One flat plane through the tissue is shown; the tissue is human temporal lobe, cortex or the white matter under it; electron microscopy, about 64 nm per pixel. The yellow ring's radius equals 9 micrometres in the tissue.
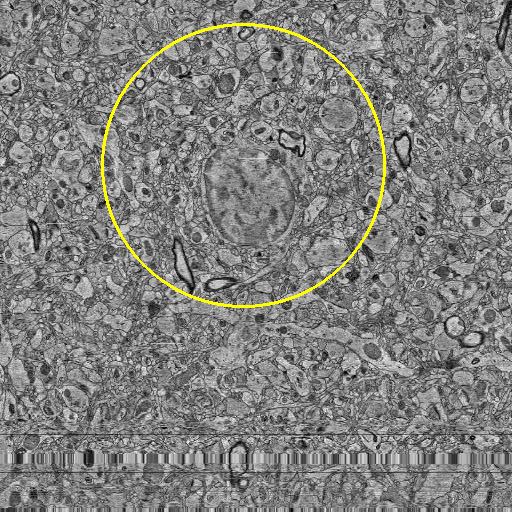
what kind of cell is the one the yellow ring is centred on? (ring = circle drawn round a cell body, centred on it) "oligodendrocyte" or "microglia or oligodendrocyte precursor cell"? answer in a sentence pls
The ring is drawn around an oligodendrocyte.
